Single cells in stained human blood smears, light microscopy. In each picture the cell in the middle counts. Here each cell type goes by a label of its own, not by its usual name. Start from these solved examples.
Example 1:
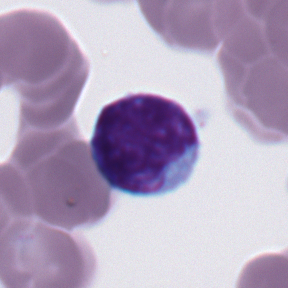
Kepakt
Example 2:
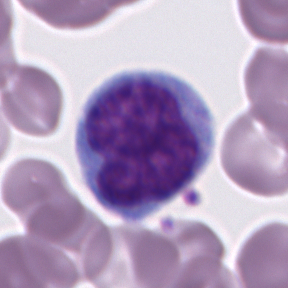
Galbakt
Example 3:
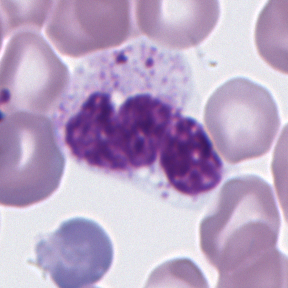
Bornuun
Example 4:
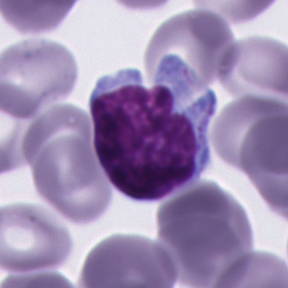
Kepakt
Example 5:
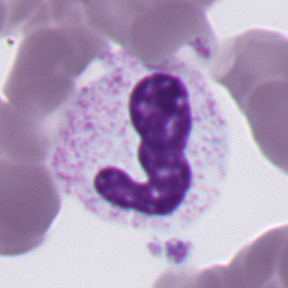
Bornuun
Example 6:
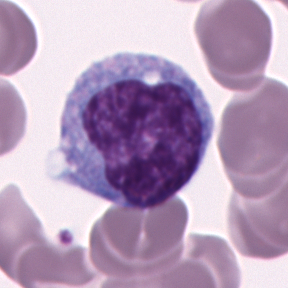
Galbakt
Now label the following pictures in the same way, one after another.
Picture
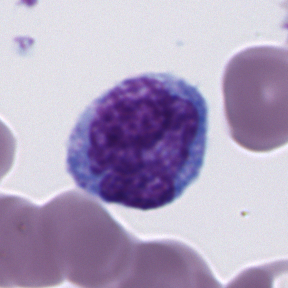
Galbakt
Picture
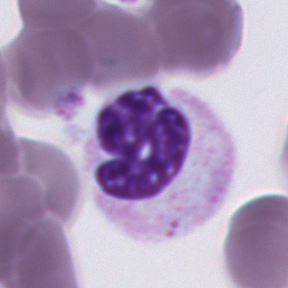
Bornuun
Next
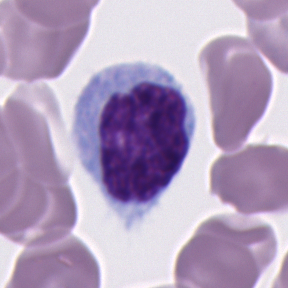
Galbakt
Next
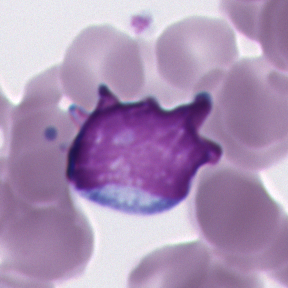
Kepakt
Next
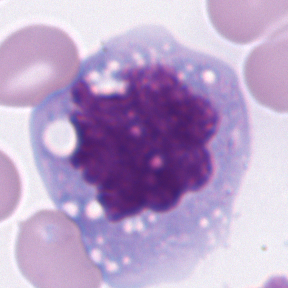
Galbakt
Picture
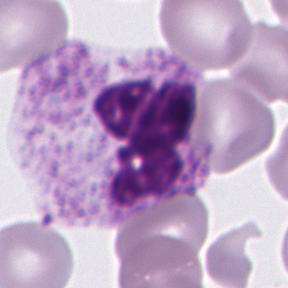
Bornuun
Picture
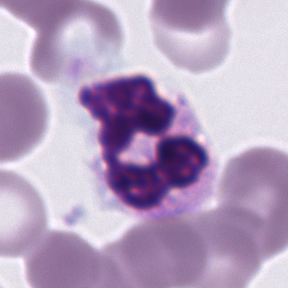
Bornuun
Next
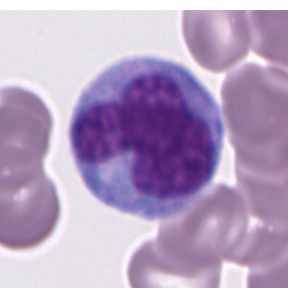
Galbakt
